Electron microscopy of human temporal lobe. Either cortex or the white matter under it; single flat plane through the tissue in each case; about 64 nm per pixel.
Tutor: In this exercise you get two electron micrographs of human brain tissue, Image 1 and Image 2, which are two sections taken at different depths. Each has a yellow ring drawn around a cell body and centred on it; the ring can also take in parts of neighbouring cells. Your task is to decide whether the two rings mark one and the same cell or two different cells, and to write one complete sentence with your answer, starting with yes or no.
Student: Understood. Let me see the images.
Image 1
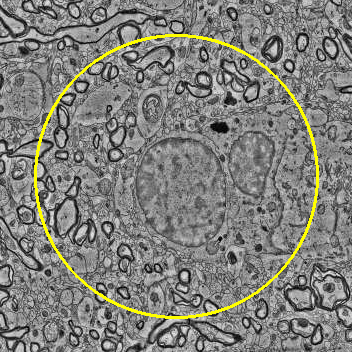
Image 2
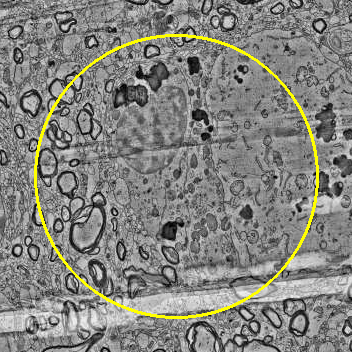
No, the two rings in this image mark separate cells.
